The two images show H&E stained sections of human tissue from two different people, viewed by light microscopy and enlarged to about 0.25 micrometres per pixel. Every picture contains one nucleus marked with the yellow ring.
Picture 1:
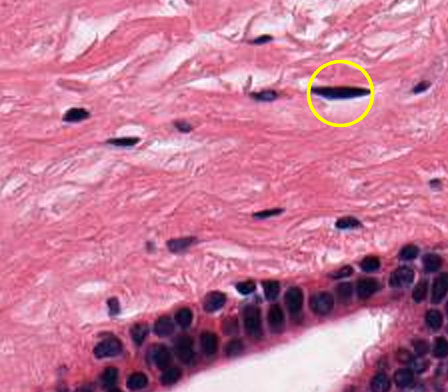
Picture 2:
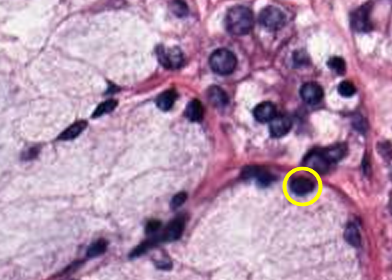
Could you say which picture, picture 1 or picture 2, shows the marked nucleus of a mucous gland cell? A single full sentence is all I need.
In picture 2 rather than in the other picture, the marked nucleus belongs to a mucous gland cell.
